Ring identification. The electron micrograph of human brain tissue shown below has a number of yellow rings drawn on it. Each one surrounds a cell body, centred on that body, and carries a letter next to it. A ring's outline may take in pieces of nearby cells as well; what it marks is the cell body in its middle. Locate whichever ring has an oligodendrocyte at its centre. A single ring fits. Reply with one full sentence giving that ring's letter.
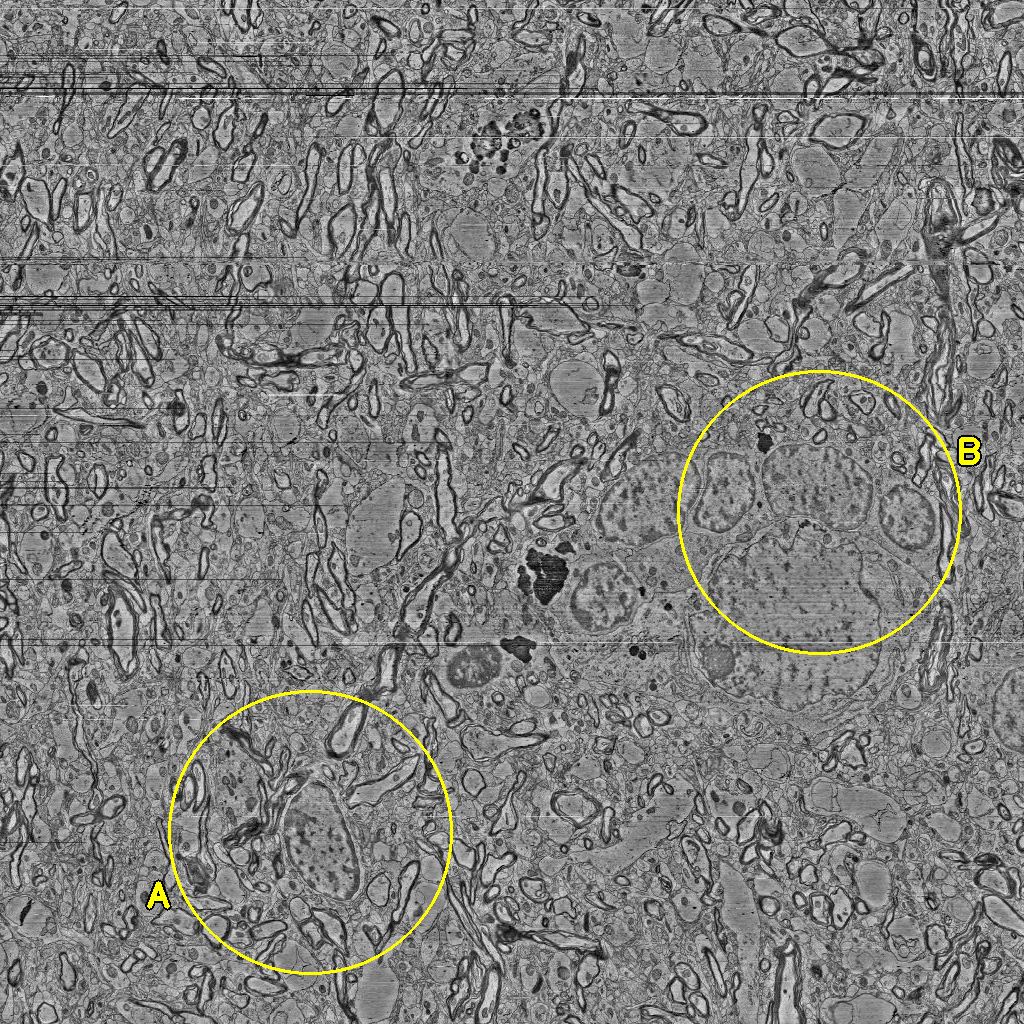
The letter B belongs to the ring centred on a cell of that kind.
